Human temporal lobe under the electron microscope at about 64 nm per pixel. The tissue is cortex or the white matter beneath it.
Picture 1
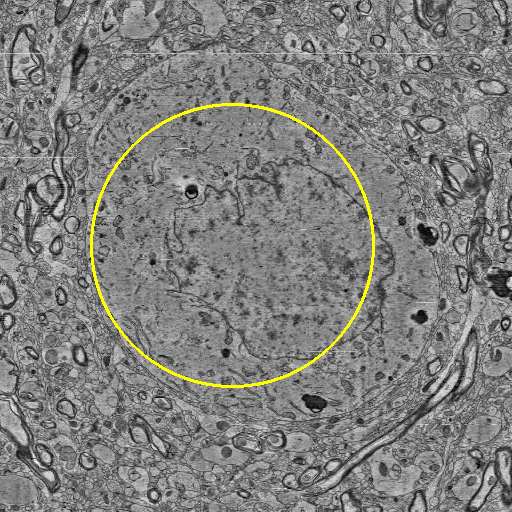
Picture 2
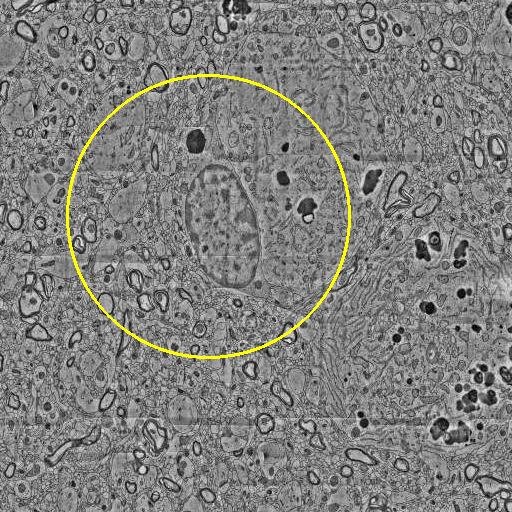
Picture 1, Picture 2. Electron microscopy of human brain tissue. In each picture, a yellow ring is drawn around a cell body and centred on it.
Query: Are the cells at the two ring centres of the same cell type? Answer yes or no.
no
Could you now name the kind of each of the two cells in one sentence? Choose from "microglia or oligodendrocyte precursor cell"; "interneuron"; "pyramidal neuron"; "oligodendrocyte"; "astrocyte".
The first ring encloses a pyramidal neuron; the second ring encloses an oligodendrocyte.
